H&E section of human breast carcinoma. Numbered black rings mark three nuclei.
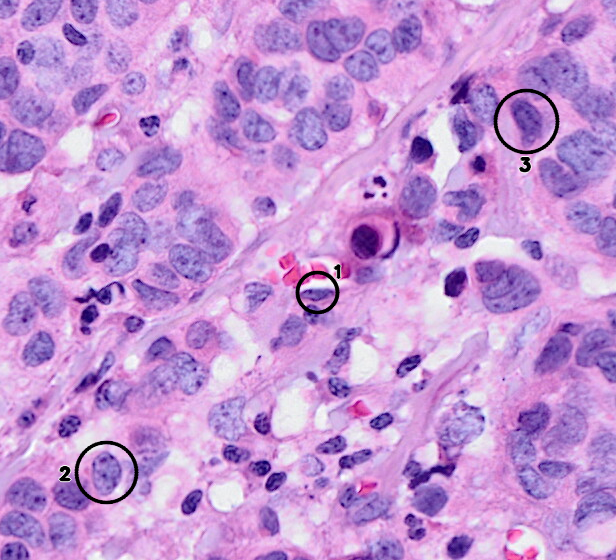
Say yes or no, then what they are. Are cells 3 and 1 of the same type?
No, cell 3 is a carcinoma cell; as for cell 1, that one is an endothelial cell.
